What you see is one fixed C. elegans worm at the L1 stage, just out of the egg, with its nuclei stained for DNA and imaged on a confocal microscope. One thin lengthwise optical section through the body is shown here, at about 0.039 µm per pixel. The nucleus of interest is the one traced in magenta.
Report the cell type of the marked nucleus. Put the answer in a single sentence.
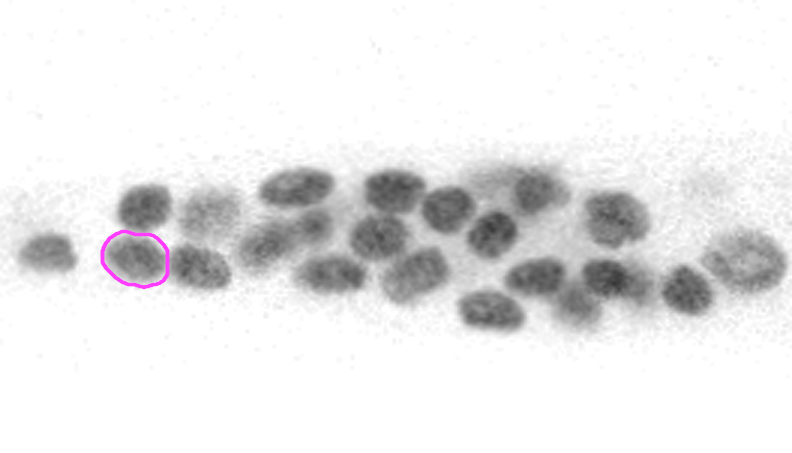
This is the nucleus of a hypodermal cell (hyp).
